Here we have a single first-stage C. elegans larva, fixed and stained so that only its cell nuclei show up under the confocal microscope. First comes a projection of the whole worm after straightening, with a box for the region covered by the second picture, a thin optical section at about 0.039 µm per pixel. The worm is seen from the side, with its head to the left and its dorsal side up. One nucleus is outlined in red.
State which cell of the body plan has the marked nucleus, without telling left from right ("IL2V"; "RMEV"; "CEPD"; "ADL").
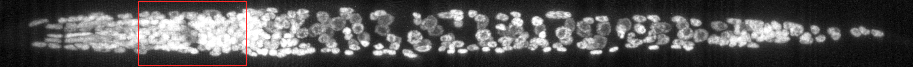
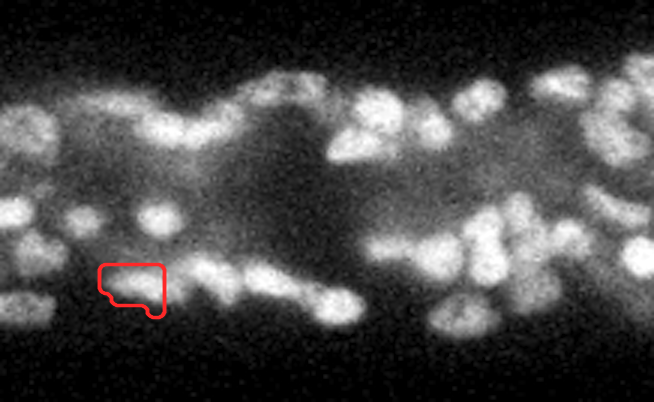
IL2V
